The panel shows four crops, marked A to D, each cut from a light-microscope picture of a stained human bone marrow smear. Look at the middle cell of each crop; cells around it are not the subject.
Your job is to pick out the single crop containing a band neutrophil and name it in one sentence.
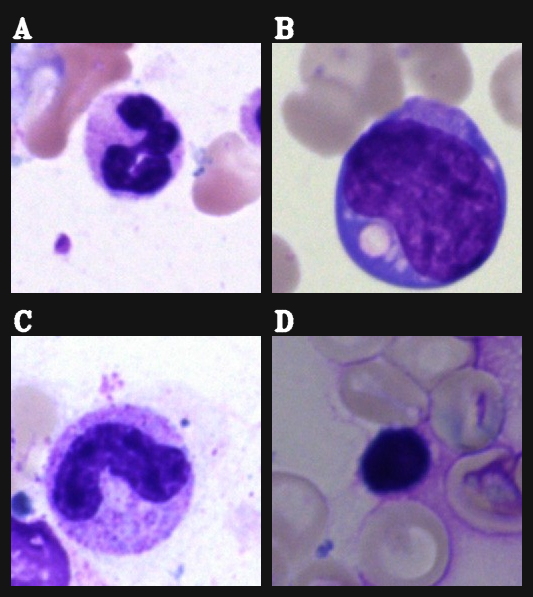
The crop that has a band neutrophil in the middle is crop C.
